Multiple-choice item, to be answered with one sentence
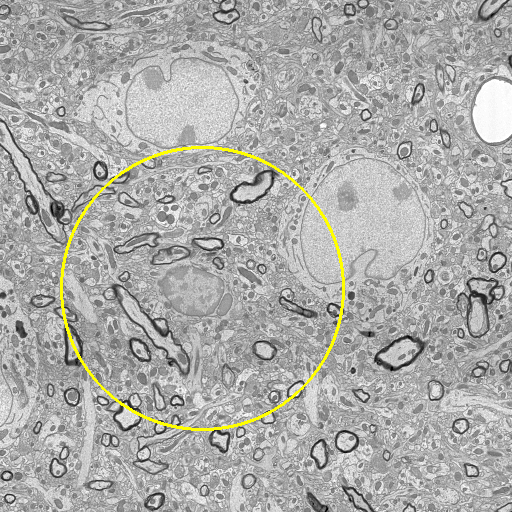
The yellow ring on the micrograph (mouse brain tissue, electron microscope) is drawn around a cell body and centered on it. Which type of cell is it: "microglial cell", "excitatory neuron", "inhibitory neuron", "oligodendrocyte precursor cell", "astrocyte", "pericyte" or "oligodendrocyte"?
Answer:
The ring is centered on a microglial cell.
